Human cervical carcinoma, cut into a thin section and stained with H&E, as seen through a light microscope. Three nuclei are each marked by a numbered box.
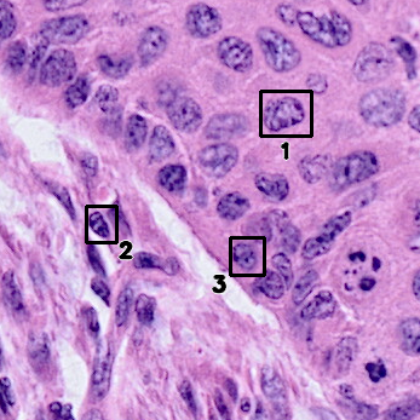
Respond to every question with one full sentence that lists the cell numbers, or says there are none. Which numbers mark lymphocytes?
Cell 2 is the only numbered cell that is a lymphocyte.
